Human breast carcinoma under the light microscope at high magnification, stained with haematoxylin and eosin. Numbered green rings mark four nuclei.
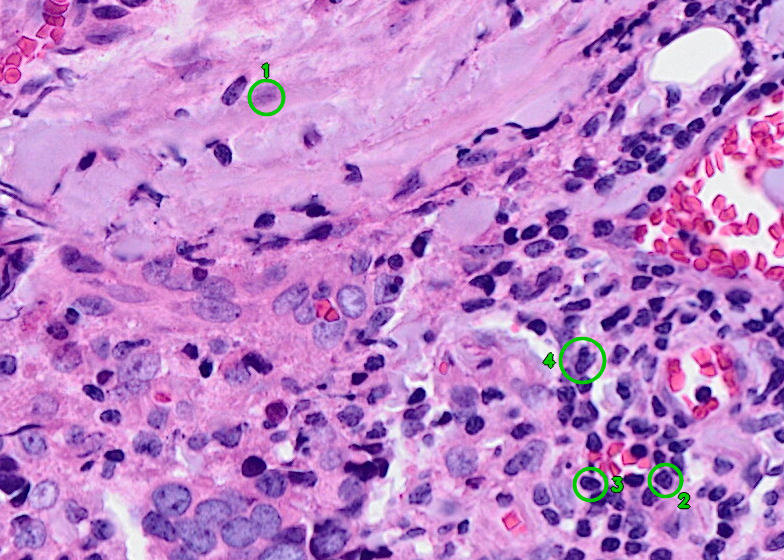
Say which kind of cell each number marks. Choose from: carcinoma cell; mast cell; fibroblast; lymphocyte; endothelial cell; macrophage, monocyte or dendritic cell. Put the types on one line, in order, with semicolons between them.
fibroblast; lymphocyte; lymphocyte; lymphocyte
